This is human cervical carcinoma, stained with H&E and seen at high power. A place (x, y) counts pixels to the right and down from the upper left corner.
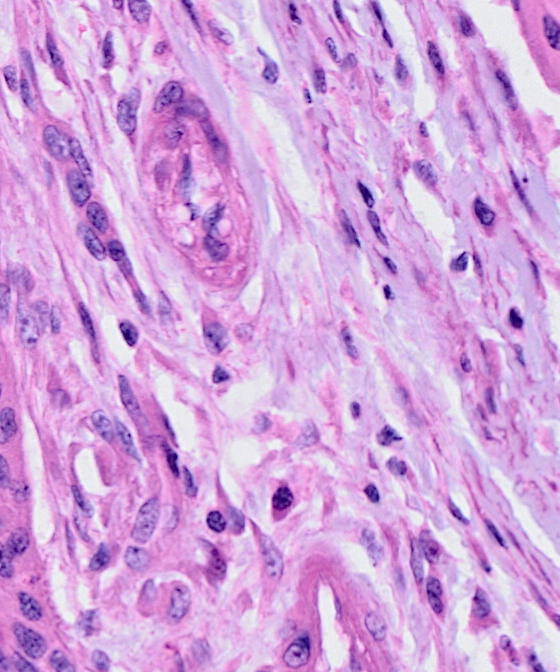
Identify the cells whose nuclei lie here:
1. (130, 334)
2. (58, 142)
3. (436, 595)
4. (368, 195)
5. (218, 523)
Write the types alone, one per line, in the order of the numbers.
lymphocyte
endothelial cell
macrophage or monocyte
lymphocyte
lymphocyte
